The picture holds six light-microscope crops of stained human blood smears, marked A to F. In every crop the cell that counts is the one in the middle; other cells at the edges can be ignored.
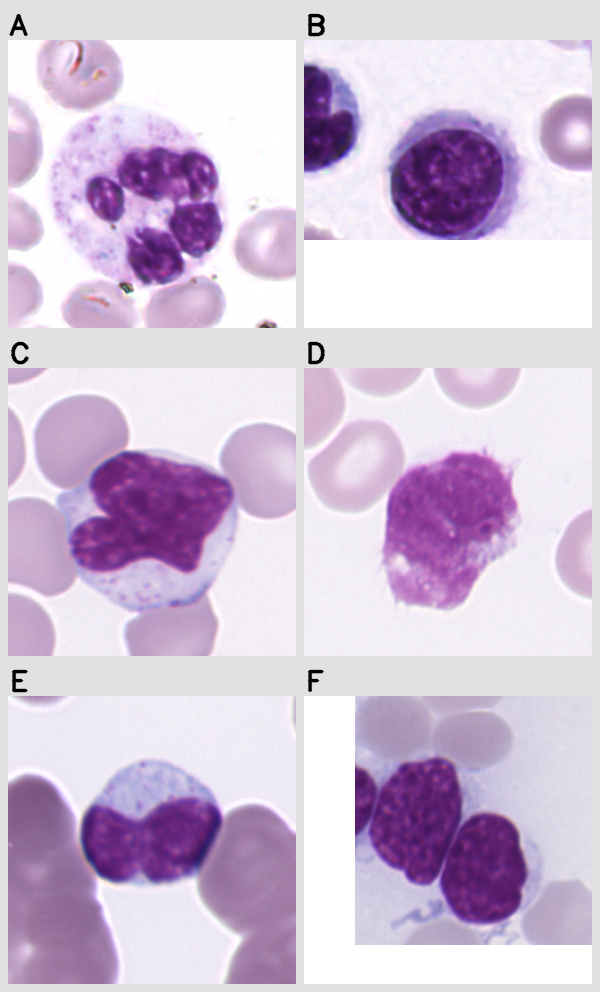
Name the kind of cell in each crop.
A: segmented neutrophil
B: plasma cell
C: large granular lymphocyte
D: smudge cell
E: large granular lymphocyte
F: myeloblast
